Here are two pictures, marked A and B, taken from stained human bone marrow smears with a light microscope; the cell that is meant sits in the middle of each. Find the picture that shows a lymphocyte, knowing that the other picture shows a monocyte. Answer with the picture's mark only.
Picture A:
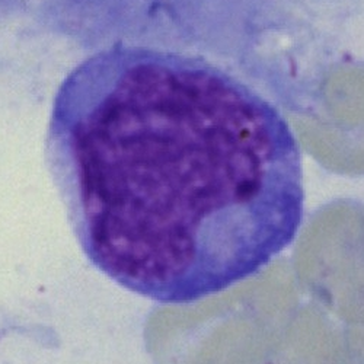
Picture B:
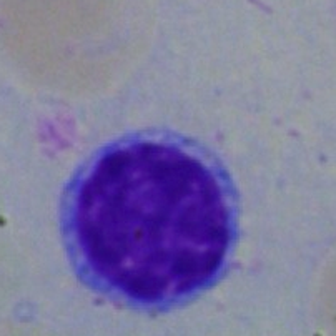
B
